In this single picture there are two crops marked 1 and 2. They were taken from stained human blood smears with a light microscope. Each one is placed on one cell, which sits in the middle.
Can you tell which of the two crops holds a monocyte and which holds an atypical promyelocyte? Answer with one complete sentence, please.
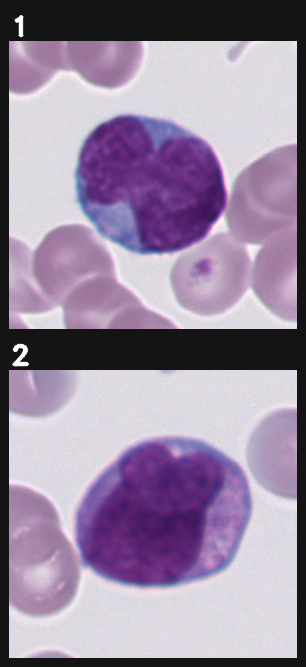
Classification: crop 1 is a monocyte, crop 2 is an atypical promyelocyte.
